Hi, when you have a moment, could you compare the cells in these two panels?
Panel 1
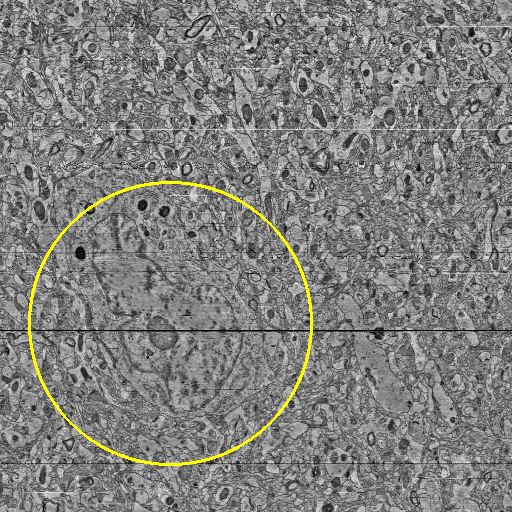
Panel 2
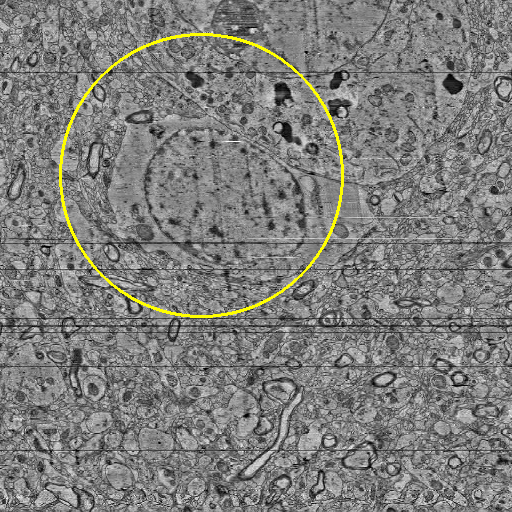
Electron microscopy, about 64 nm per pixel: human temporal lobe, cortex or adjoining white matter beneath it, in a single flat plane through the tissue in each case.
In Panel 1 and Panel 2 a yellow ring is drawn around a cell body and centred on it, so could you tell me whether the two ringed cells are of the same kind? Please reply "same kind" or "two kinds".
two kinds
